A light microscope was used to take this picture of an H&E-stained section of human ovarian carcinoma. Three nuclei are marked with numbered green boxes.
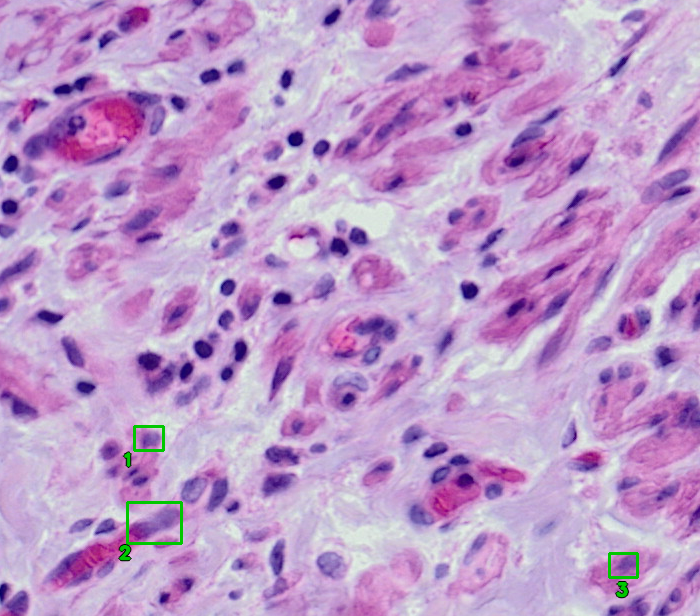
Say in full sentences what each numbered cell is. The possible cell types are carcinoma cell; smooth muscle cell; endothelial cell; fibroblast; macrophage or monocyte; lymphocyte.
Cells 1 and 3 are smooth muscle cells. Cell 2 is an endothelial cell.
